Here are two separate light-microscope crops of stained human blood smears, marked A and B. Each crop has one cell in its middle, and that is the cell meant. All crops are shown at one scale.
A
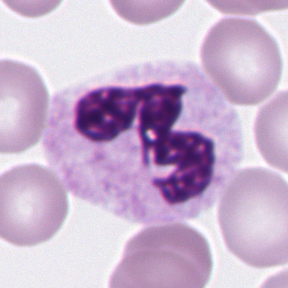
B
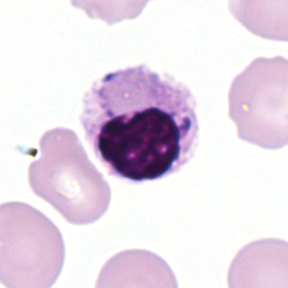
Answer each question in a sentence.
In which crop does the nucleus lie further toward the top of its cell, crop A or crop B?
Seen within its cell, the nucleus in crop A lies further toward the top.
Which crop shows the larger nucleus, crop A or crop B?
The nucleus in crop A is larger, with about 2 times the area of the one in crop B.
